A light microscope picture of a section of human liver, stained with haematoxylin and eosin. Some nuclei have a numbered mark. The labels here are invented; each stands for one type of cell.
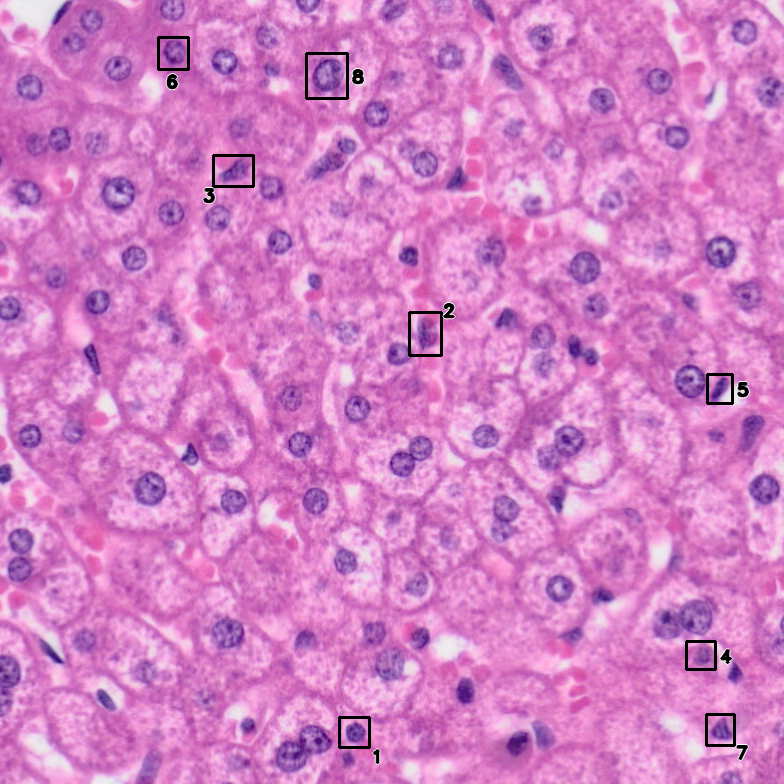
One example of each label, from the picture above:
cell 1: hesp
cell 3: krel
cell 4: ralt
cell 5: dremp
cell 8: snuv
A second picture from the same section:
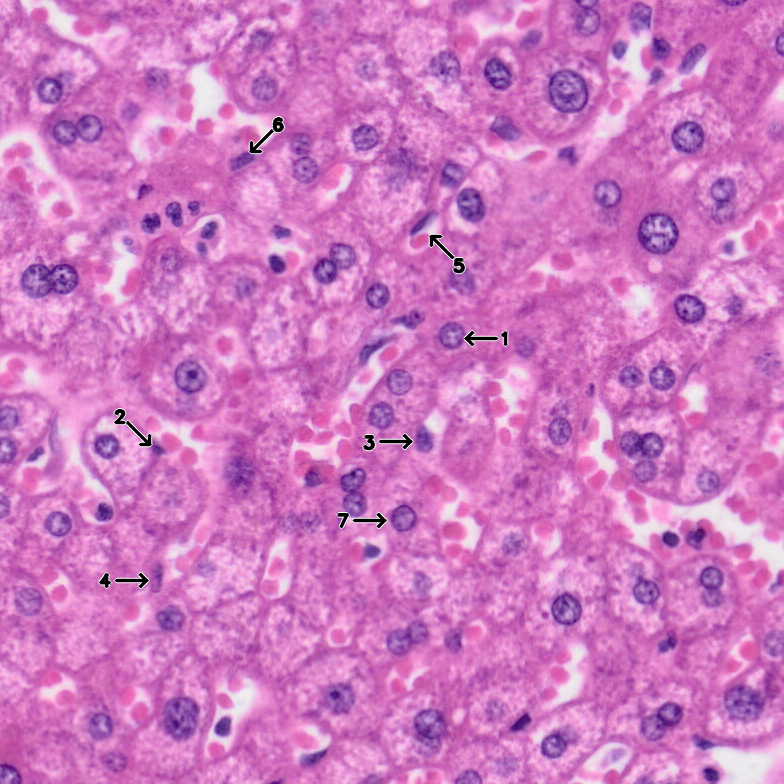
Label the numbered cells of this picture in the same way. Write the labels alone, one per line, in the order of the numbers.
snuv
krel
krel
ralt
krel
dremp
snuv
